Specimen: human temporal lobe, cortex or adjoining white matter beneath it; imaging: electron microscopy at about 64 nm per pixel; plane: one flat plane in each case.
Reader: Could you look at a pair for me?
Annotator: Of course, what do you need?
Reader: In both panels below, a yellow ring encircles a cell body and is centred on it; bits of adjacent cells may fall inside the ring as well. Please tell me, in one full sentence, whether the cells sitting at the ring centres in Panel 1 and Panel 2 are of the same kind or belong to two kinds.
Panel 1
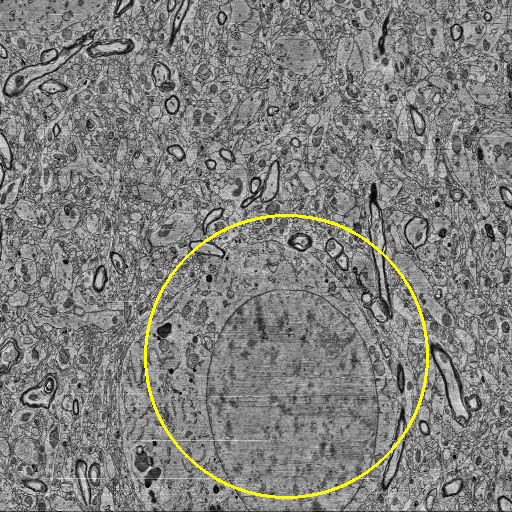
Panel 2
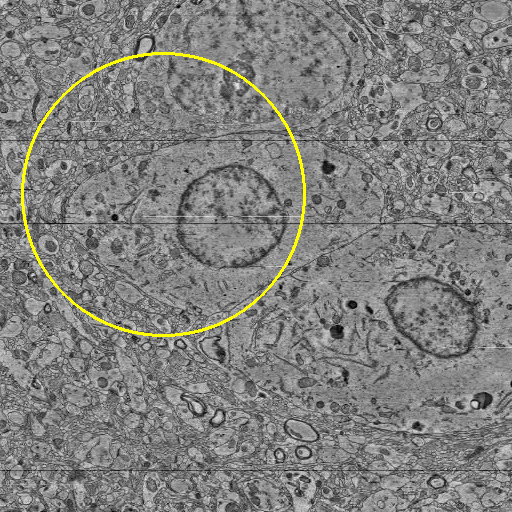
The cell at the ring's centre in Panel 1 and the one in Panel 2 are of the same kind.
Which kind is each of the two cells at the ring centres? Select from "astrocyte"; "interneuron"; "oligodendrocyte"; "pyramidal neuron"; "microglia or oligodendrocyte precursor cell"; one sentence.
The second cell is a pyramidal neuron, just as the first is.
